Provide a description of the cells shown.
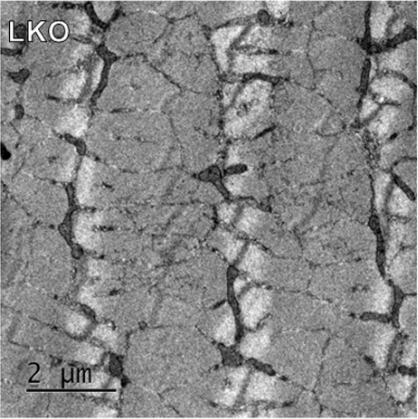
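Longitudinal section of skeletal muscle with a disorganised sarcomeric structure. Broad pale irregular zones run through the field, bordered by dark branching membranous profiles. The myofibrillar material appears as a granular grey mass divided into irregular polygonal areas.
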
